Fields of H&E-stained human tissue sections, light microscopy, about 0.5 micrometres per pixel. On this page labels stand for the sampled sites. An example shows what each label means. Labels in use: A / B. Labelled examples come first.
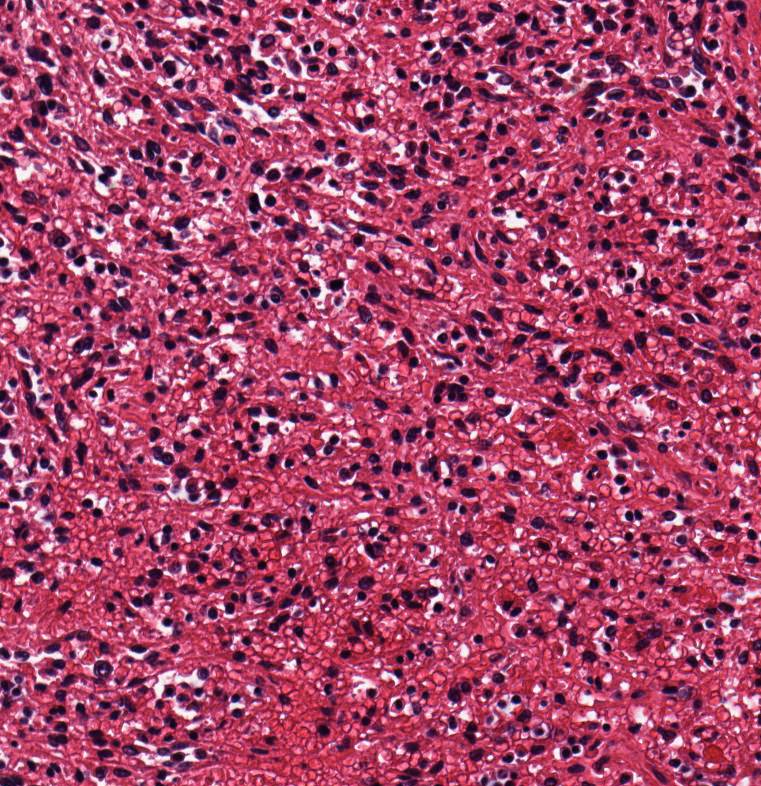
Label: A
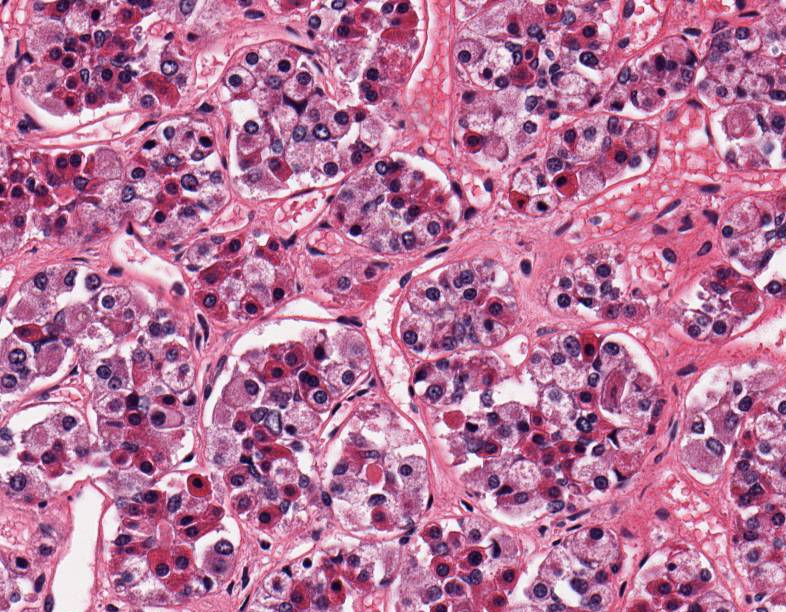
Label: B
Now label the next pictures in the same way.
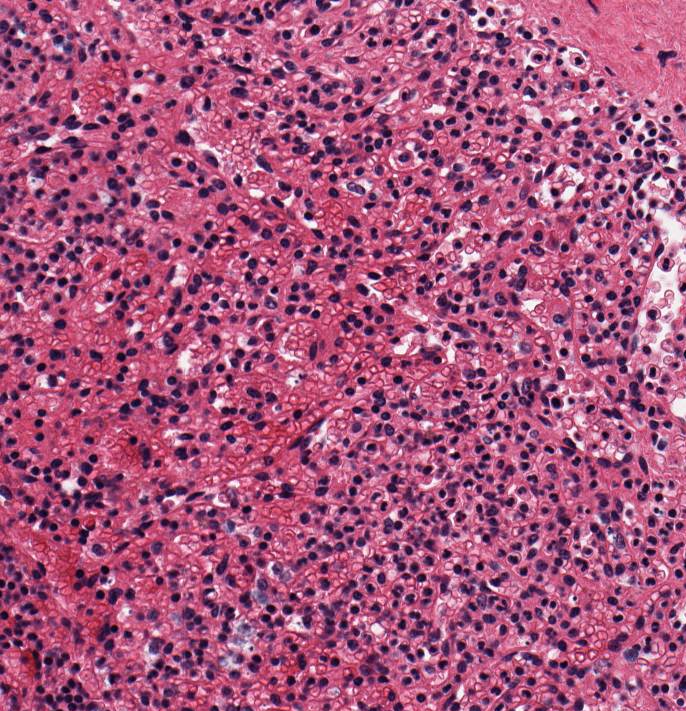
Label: A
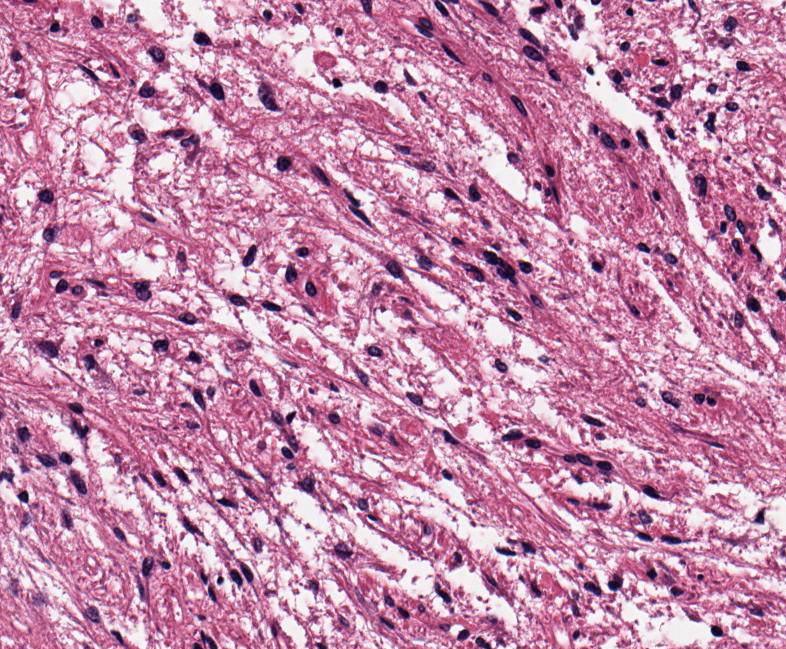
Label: B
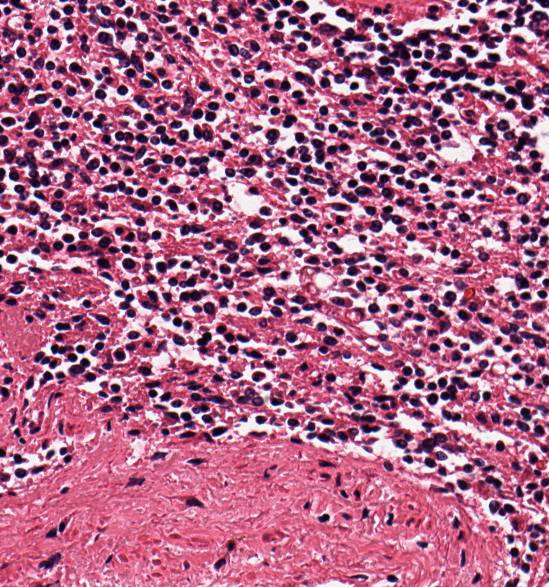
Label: A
